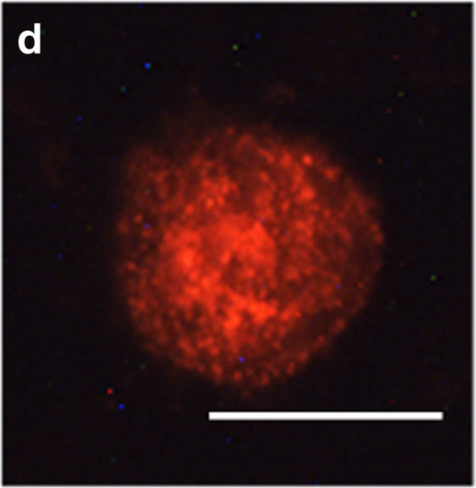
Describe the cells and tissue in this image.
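Within a more diffuse glow lie many small, bright punctate clusters spread across the cell. The central region of the cell is brighter than the periphery. A few tiny coloured specks lie in the background outside the cell.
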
